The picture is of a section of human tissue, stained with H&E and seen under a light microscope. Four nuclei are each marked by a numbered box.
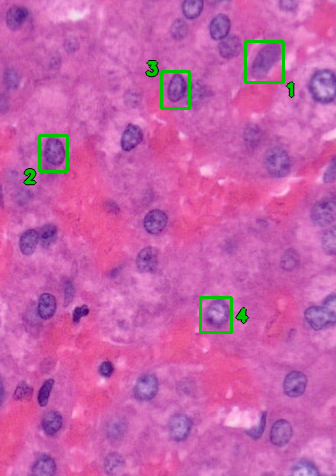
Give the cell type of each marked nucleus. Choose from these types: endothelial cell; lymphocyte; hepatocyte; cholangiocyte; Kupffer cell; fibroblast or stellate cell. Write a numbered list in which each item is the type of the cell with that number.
1. Kupffer cell
2. hepatocyte
3. hepatocyte
4. hepatocyte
